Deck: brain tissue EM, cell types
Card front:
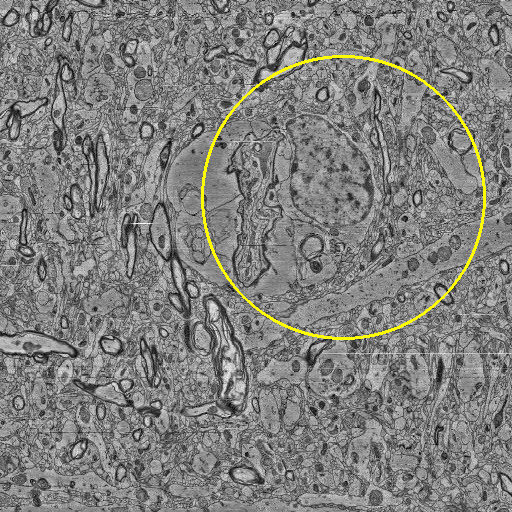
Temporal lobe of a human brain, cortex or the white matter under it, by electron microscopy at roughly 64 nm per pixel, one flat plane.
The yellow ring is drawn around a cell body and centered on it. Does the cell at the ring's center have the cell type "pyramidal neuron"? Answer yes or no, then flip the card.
no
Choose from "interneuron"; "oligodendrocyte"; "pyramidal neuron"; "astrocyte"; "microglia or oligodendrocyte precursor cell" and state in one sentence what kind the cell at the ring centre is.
The ringed cell in this picture is, instead, a microglial cell or oligodendrocyte precursor cell.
